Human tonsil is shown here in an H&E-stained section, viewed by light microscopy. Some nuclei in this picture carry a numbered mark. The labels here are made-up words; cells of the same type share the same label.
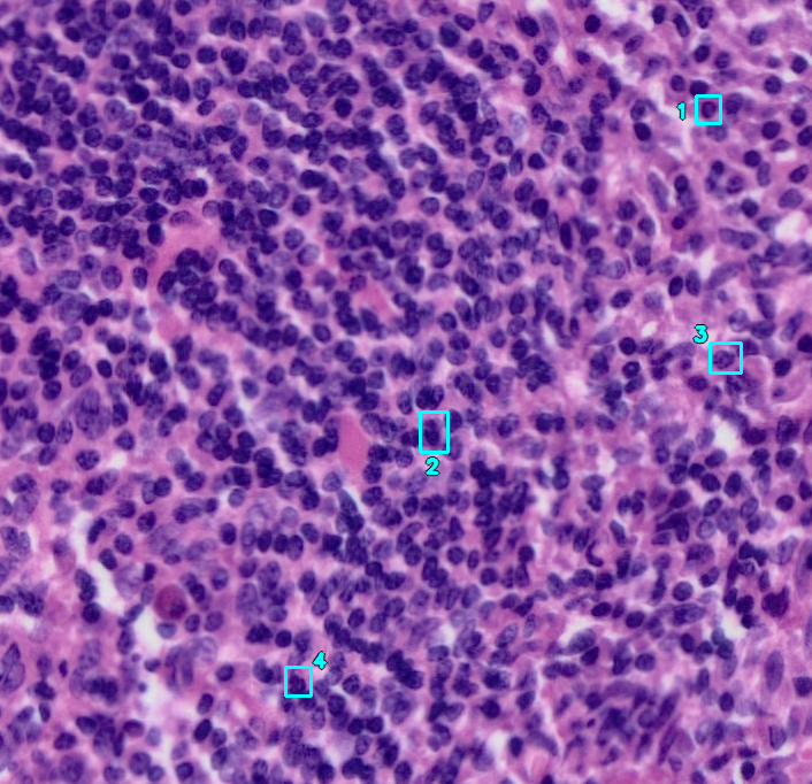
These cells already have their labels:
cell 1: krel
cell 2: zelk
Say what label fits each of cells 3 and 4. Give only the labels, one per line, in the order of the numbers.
krel
zelk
